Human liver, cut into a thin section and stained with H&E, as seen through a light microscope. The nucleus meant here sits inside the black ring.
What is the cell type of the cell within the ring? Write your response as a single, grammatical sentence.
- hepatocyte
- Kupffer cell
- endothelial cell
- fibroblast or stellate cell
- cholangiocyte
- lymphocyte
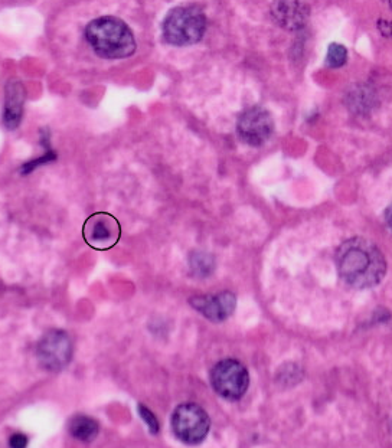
At the level of cell identity, the cell within the ring is a fibroblast or stellate cell.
